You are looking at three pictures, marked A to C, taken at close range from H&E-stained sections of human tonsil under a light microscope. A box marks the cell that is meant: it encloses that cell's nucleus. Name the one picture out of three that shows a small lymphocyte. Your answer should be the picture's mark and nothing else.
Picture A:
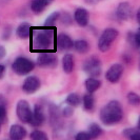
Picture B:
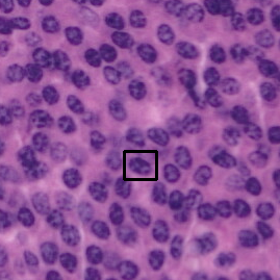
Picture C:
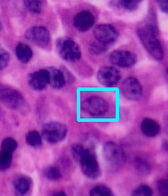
A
